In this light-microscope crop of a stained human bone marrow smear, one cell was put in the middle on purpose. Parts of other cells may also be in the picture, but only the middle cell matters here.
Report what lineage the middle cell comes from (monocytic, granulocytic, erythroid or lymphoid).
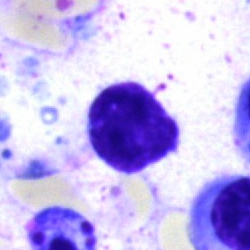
lymphoid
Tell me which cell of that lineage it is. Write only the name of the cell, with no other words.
lymphocyte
